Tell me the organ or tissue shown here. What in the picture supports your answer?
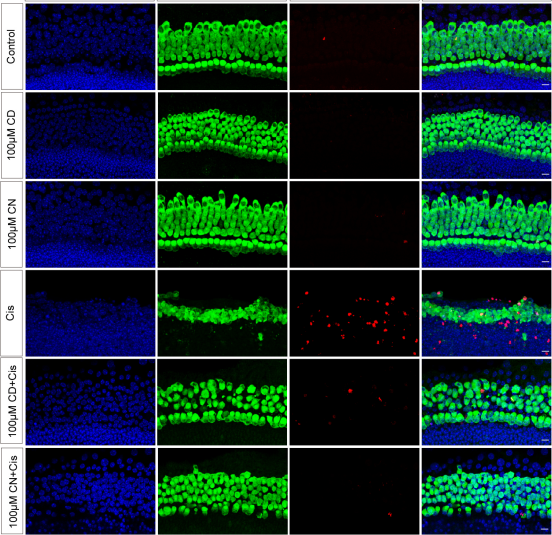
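Blue nuclei of other cells lie below and around the green rows. On this evidence: cochlear explants.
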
